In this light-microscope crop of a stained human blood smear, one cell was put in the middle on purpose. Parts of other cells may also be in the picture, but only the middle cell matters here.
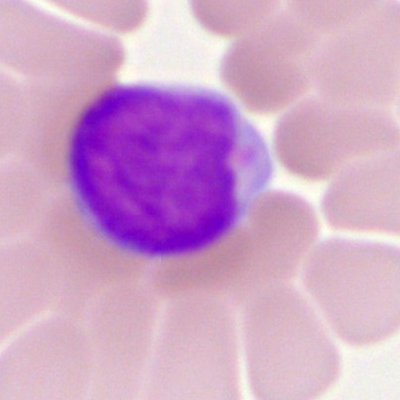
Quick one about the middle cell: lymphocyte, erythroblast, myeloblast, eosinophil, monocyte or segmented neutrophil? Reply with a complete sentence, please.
By type, the central cell of the crop is a myeloblast.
